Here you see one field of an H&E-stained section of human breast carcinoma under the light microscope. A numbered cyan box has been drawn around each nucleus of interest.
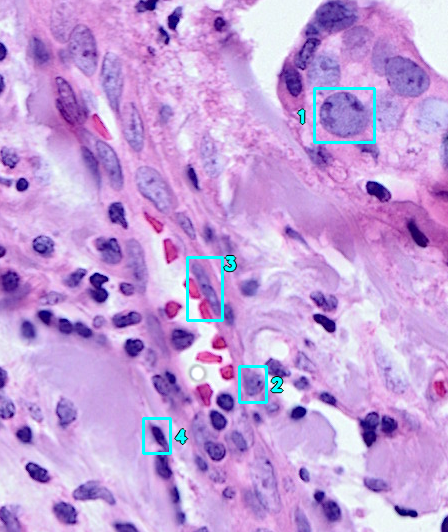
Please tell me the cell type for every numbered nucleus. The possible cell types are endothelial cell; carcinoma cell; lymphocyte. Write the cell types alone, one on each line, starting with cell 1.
carcinoma cell
endothelial cell
endothelial cell
lymphocyte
